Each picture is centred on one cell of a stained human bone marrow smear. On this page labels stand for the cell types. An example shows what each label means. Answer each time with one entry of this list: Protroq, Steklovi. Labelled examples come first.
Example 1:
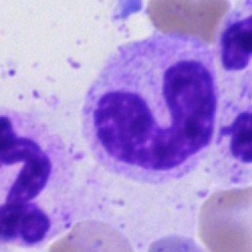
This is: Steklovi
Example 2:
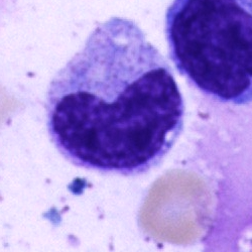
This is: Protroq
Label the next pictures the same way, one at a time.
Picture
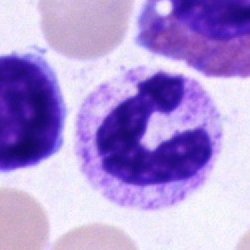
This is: Steklovi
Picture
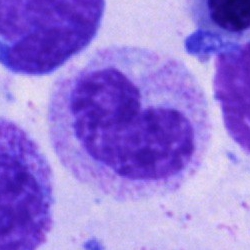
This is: Protroq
